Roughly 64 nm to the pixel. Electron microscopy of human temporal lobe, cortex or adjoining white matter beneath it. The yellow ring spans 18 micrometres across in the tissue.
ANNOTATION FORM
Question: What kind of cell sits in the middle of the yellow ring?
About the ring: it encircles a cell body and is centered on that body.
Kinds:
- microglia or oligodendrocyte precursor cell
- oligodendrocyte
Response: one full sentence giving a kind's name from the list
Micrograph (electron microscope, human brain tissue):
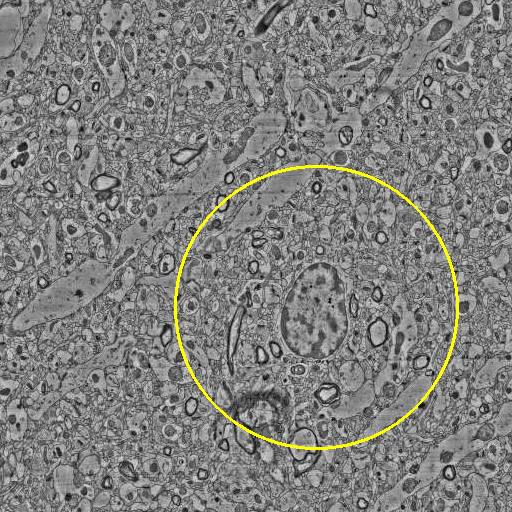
The kind of cell found at the center of the yellow ring in the micrograph is a microglial cell or oligodendrocyte precursor cell.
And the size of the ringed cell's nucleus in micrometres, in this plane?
In this plane the nucleus is about 6 micrometres by 4.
